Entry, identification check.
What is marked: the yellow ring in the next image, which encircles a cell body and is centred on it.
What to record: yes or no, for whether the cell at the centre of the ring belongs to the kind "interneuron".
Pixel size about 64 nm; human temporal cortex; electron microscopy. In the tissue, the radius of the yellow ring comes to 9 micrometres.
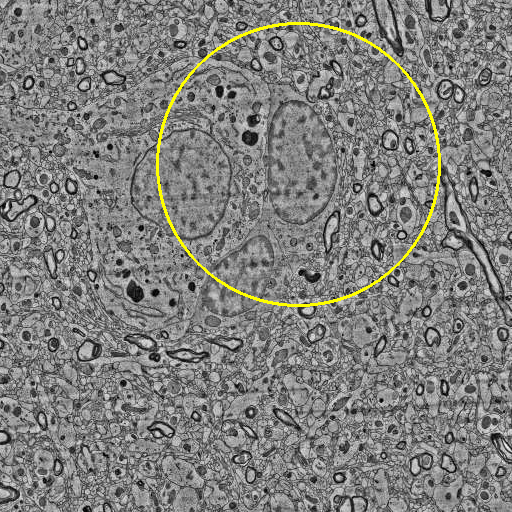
No, it belongs to another kind.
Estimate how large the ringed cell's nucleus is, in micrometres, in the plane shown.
In this plane the nucleus is roughly 8 by 5 micrometres, clearly longer than it is wide.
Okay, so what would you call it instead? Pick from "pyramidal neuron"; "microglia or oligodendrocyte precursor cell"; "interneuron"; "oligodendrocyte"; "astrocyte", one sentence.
The cell marked by the ring is an oligodendrocyte.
